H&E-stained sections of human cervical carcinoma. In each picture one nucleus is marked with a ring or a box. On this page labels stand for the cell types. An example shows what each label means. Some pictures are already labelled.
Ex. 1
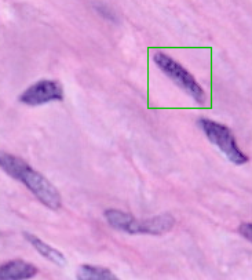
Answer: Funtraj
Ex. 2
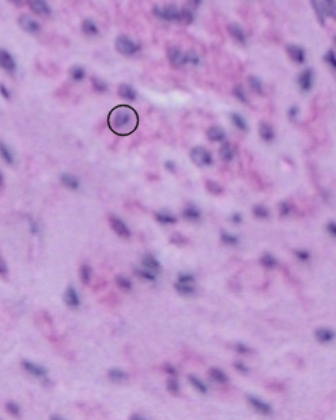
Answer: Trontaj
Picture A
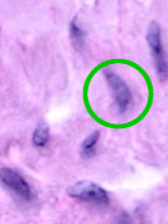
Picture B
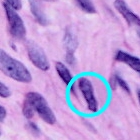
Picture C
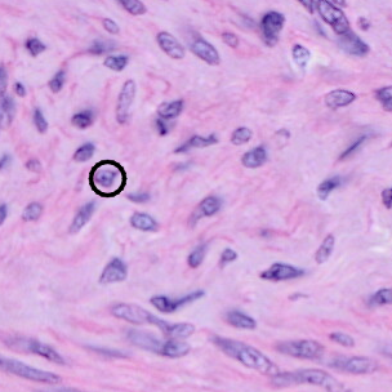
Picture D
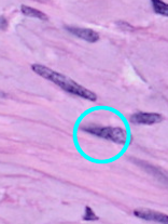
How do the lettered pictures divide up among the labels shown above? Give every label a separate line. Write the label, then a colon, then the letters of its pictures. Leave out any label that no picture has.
Funtraj: A, B, D
Trontaj: C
